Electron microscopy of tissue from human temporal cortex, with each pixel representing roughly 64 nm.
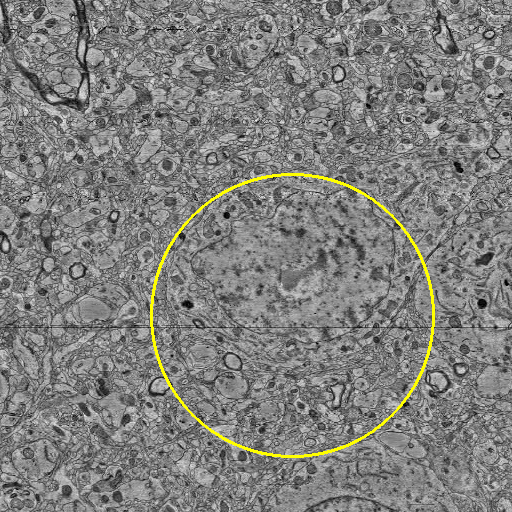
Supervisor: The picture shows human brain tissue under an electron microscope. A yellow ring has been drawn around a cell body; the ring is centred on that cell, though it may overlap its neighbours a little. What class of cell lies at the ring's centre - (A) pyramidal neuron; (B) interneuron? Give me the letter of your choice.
B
